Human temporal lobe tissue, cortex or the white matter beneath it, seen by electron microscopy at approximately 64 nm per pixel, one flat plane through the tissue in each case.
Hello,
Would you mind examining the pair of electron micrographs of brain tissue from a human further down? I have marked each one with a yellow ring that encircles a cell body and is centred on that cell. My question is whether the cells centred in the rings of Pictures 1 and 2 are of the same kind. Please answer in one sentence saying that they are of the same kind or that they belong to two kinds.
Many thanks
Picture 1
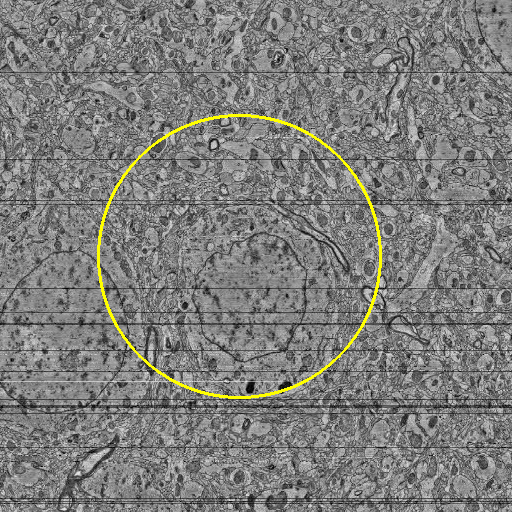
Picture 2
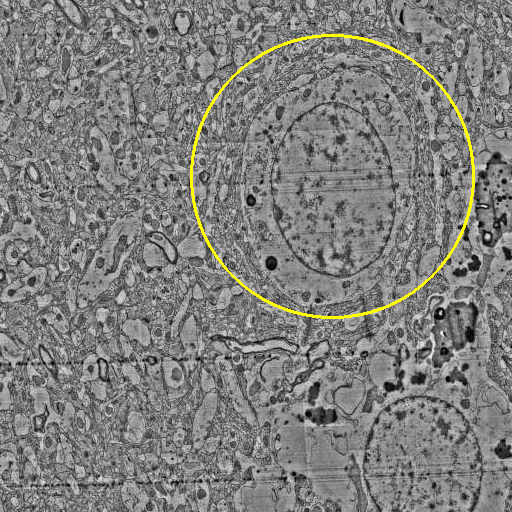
In Pictures 1 and 2, the cells at the heart of the rings are of the same kind.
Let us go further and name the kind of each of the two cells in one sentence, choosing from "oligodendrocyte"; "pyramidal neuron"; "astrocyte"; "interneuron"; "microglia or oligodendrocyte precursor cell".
In both pictures the ring is centred on a pyramidal neuron.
